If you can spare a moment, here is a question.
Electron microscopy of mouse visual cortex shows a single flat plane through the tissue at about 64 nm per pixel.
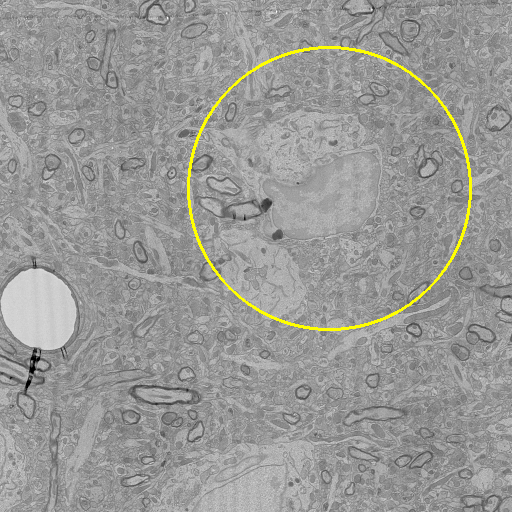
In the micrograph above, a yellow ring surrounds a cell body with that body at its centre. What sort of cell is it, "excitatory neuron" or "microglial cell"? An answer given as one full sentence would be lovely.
Centred inside the yellow ring, the cell body shown belongs to a microglial cell in this micrograph.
